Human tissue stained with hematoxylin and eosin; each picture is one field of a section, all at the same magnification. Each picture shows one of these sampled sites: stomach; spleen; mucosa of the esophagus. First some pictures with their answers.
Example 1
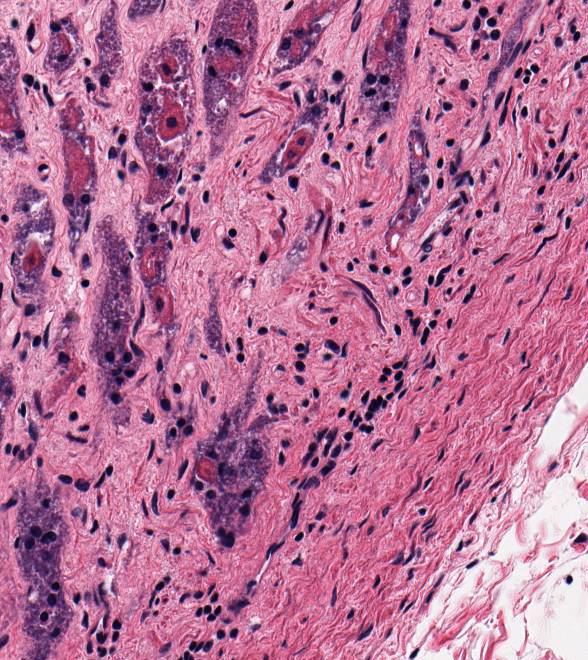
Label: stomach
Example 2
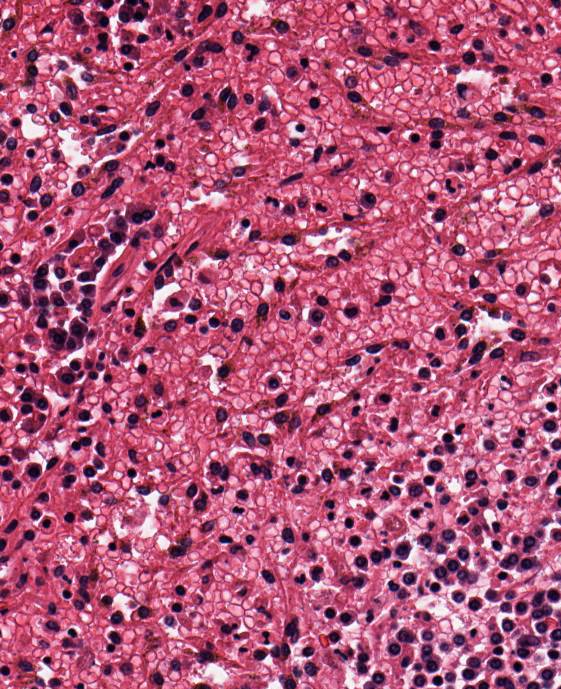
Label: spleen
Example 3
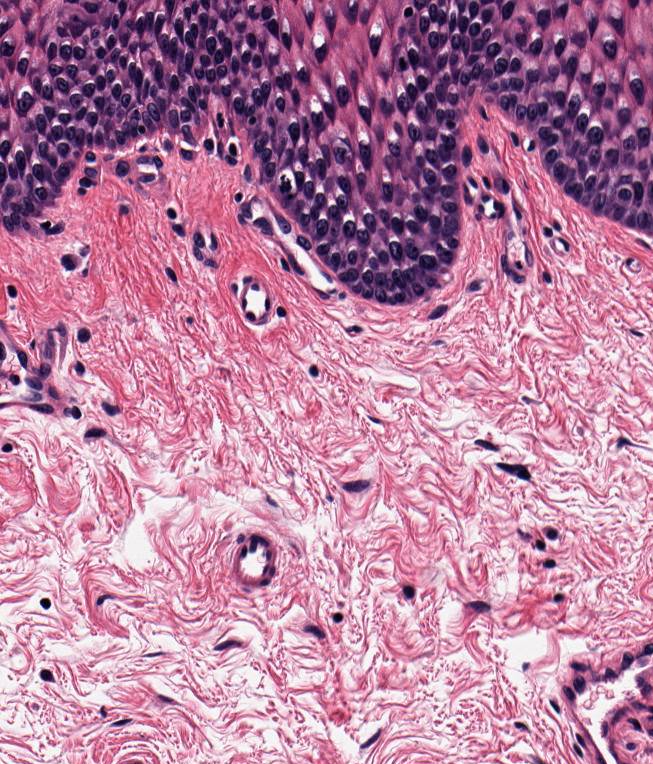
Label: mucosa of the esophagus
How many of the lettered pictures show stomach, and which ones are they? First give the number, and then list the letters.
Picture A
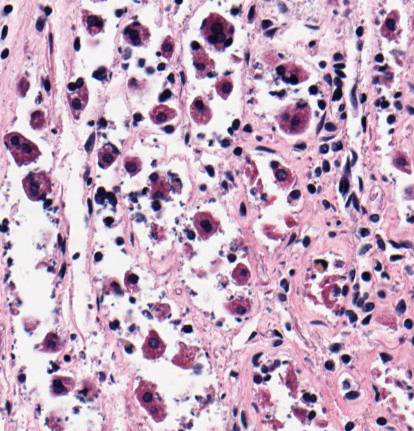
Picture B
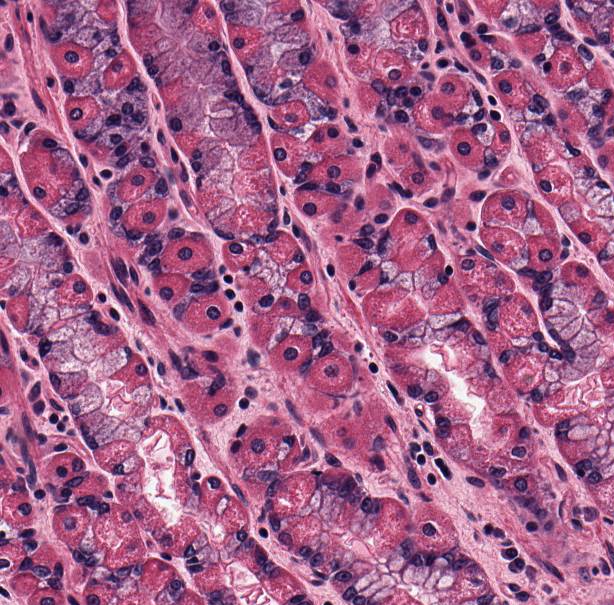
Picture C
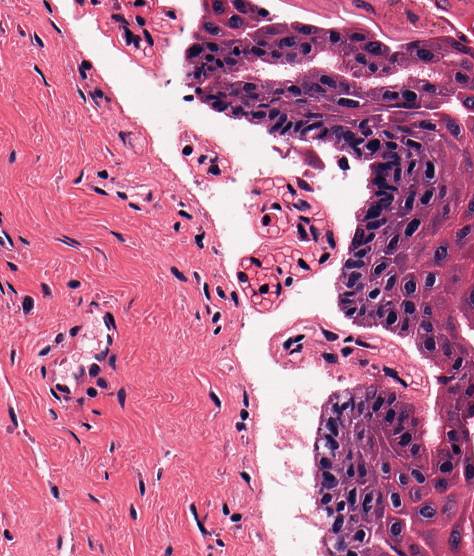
2: A, B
